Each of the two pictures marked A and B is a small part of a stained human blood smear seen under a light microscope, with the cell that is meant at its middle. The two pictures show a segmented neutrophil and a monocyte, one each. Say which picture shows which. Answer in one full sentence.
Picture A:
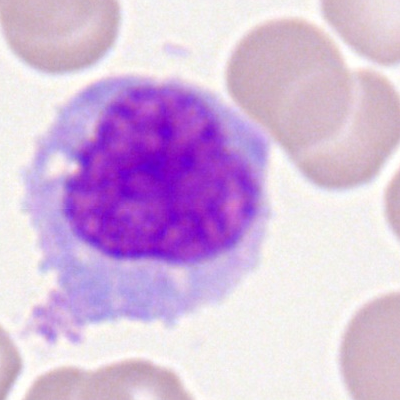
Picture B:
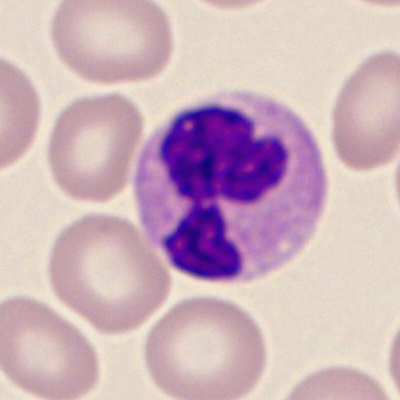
It is picture A that shows a monocyte, and picture B that shows a segmented neutrophil.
